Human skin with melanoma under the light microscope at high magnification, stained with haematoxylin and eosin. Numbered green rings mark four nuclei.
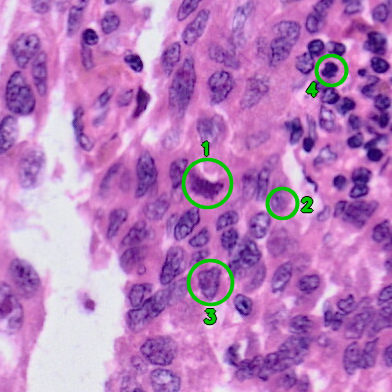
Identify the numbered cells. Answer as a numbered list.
1. melanoma cell
2. melanoma cell
3. melanoma cell
4. lymphocyte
